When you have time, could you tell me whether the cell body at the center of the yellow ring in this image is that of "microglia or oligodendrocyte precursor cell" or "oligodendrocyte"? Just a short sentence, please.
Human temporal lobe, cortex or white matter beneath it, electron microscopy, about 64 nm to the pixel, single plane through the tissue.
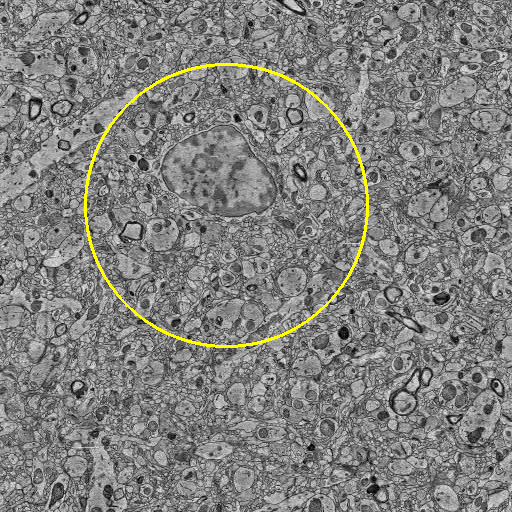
The cell body at the center of the ring is that of a microglial cell or oligodendrocyte precursor cell.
